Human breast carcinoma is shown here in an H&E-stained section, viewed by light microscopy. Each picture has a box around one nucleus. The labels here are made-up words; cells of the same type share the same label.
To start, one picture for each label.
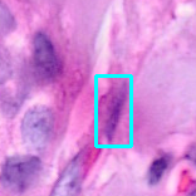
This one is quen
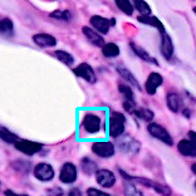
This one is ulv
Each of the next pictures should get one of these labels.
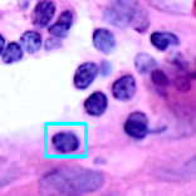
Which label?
ulv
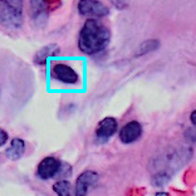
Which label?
ulv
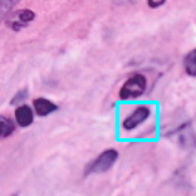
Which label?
ulv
